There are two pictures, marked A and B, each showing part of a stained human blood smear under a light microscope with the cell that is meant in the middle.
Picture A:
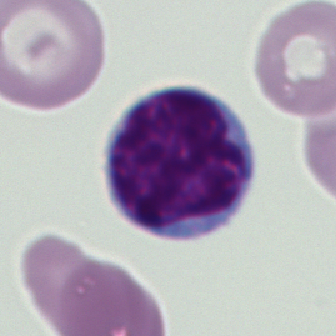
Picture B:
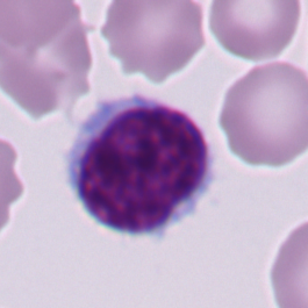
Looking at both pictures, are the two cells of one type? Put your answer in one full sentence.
No; the cell in picture A is a typical lymphocyte, while the one in picture B is a hairy cell.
